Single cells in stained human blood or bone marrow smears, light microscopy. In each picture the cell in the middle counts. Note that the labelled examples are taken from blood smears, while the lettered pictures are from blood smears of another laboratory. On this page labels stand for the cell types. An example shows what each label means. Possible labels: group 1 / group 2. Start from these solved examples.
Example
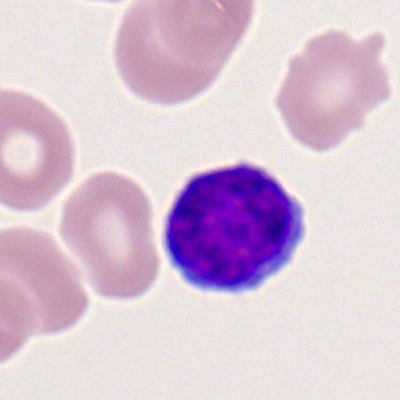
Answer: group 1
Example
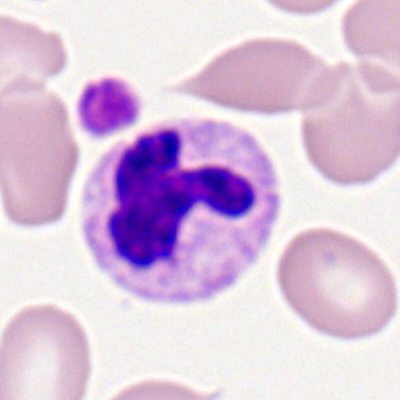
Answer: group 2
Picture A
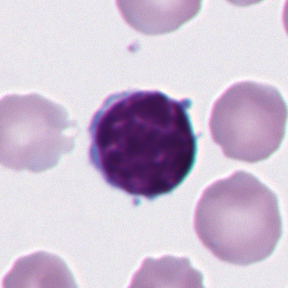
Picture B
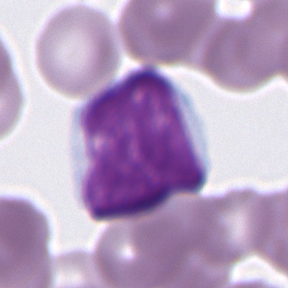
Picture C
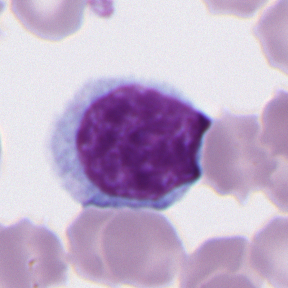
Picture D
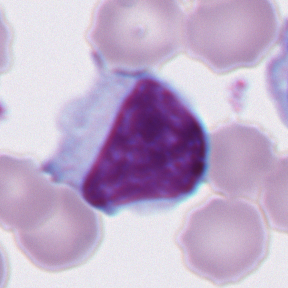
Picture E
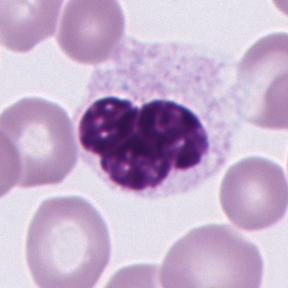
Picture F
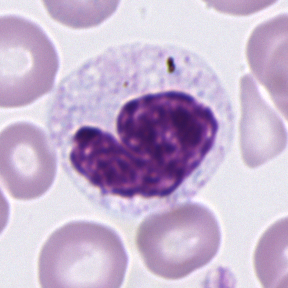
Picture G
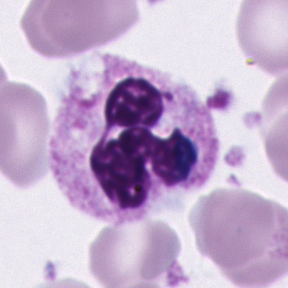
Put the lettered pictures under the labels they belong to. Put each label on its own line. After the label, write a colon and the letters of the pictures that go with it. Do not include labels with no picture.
group 1: A, B, C, D
group 2: E, F, G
